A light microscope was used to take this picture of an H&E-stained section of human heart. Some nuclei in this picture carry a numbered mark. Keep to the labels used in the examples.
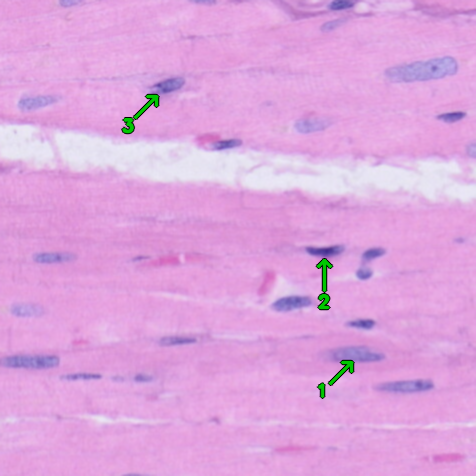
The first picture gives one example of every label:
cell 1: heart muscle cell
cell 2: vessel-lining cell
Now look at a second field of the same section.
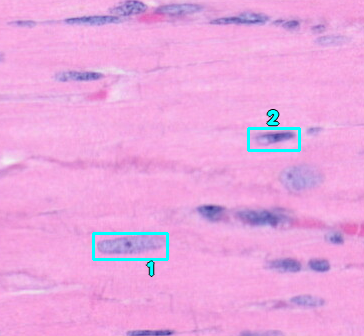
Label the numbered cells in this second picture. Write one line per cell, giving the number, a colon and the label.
1: heart muscle cell
2: vessel-lining cell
